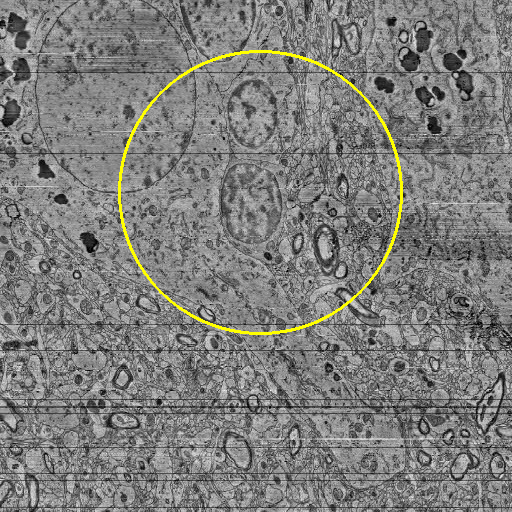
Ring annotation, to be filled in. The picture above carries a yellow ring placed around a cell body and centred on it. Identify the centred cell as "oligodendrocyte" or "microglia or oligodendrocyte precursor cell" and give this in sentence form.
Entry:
The cell in the middle of the ring is an oligodendrocyte.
